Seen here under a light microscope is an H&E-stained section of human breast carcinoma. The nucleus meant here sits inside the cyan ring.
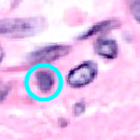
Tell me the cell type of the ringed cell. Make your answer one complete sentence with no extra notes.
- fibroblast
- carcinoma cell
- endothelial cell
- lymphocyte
Recorded by type, the ringed cell is an endothelial cell.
